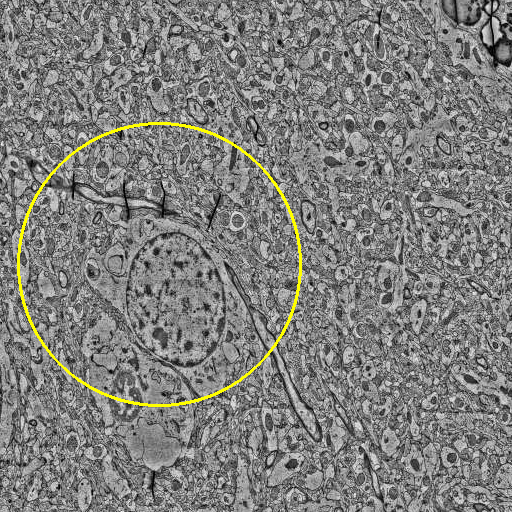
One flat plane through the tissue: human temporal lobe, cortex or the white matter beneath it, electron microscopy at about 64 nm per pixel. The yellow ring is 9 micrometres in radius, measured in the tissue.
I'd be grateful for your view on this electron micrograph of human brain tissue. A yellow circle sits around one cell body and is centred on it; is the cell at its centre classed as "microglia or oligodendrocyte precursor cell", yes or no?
no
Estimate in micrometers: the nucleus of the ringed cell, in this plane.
About 9 by 6 micrometers, in this plane.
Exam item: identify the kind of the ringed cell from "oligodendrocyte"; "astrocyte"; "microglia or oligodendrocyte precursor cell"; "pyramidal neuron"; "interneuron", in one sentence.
The ringed cell in this picture is, instead, an astrocyte.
